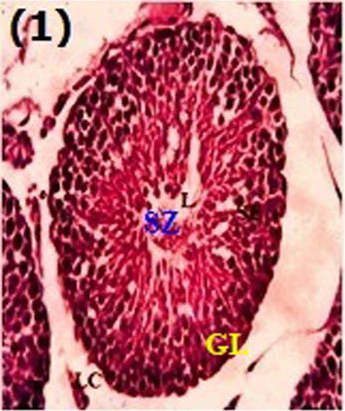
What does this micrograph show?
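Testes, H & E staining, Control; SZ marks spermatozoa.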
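Cross-section of a seminiferous tubule of the testis, with a thick stratified germinal epithelium of closely packed cells with dark round nuclei. Toward the centre the cells become elongated and their tails stream into a narrow lumen. Pale loose interstitial tissue surrounds the tubule.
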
